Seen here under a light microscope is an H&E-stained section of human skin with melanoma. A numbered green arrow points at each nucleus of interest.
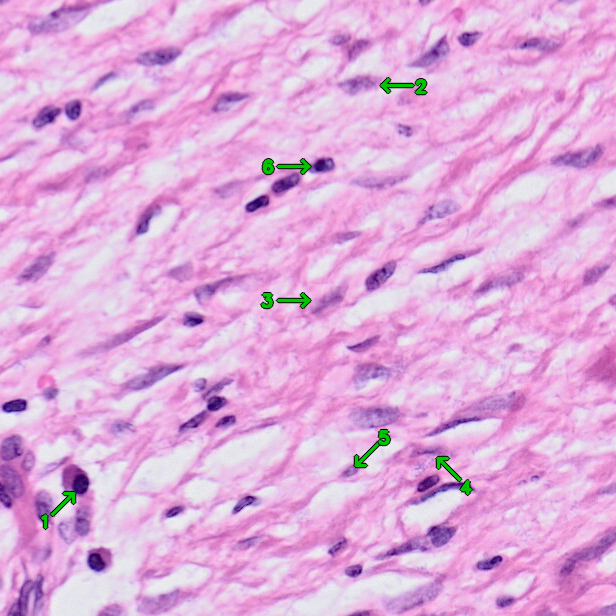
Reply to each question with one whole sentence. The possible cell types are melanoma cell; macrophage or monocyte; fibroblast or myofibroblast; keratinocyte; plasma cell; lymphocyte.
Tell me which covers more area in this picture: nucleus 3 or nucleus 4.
Nucleus 3 is the larger one, covering about 1.5 times the area of nucleus 4.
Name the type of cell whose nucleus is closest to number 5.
It is a fibroblast or myofibroblast whose nucleus is nearest to number 5.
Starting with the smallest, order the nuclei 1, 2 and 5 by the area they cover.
The order from the smallest nucleus to the largest is 5, 1, 2.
